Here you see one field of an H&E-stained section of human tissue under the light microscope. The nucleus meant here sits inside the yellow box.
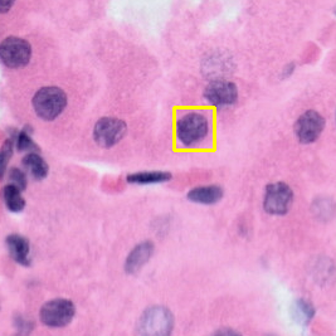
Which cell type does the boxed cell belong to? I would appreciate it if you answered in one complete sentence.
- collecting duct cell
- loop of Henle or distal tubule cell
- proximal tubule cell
In terms of identity, the boxed cell is a proximal tubule cell.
